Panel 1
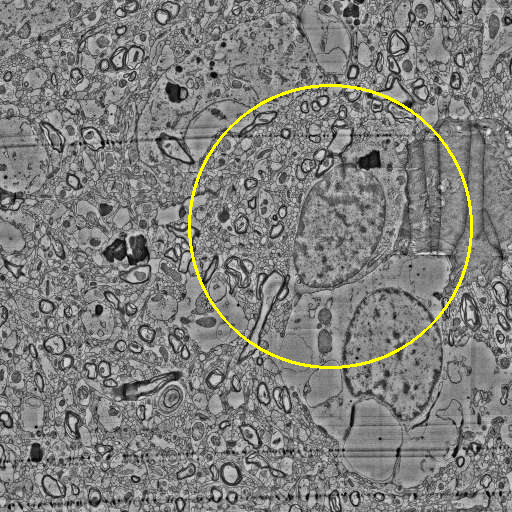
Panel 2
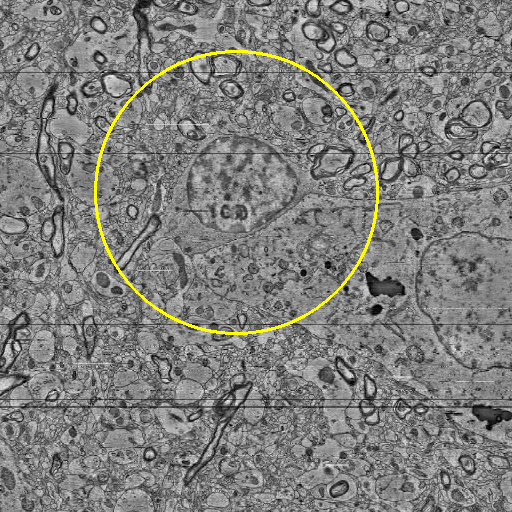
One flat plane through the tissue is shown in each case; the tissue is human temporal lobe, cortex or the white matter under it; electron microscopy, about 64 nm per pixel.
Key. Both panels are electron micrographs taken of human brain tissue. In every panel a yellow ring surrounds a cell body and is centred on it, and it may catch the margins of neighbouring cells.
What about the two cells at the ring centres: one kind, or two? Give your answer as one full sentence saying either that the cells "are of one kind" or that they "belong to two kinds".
Across Panels 1 and 2, the two cells at the ring centres are of one kind.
